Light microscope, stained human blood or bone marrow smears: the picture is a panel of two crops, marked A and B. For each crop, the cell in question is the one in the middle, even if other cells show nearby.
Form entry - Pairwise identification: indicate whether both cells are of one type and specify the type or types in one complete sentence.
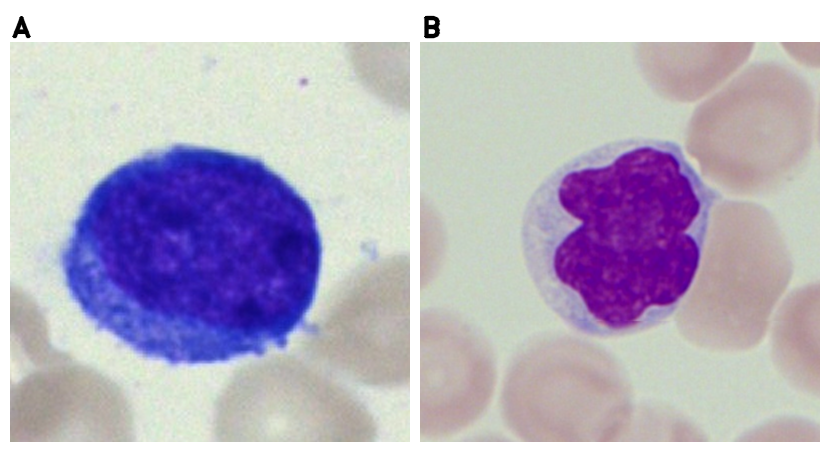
No, that is not right; crop A shows a blast and crop B shows a lymphocyte.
